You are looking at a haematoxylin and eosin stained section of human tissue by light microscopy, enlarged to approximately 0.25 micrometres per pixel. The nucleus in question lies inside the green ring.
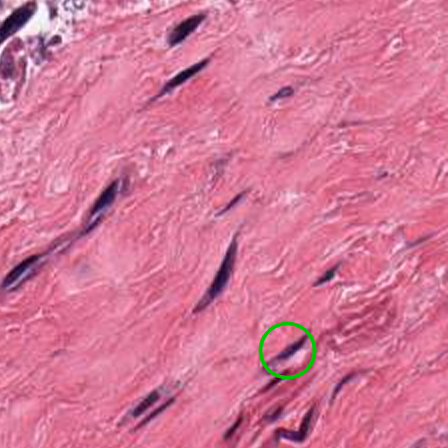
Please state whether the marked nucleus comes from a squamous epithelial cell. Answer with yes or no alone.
no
